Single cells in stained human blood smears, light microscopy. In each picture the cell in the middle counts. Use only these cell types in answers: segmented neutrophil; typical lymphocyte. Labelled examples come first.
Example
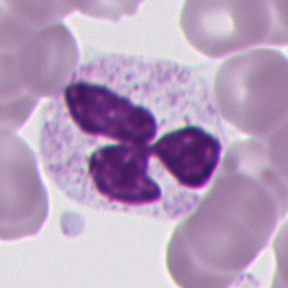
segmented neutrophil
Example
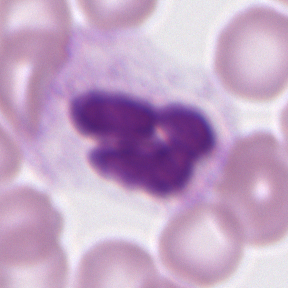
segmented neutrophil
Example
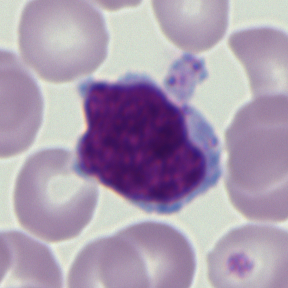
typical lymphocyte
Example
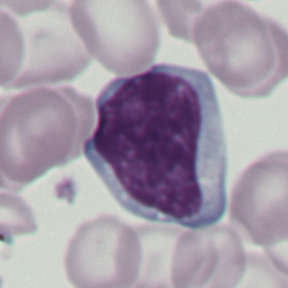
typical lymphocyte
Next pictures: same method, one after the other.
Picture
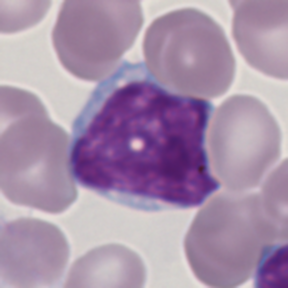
typical lymphocyte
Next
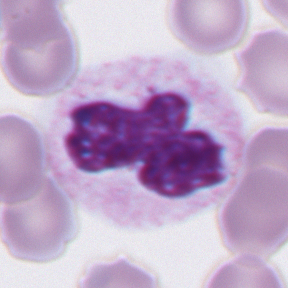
segmented neutrophil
